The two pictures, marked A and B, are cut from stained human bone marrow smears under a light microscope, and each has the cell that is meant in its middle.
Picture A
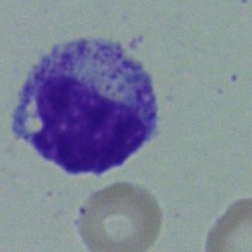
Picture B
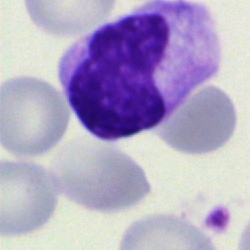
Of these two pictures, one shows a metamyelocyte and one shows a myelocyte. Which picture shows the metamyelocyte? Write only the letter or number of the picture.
B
